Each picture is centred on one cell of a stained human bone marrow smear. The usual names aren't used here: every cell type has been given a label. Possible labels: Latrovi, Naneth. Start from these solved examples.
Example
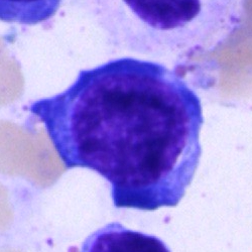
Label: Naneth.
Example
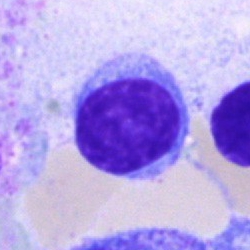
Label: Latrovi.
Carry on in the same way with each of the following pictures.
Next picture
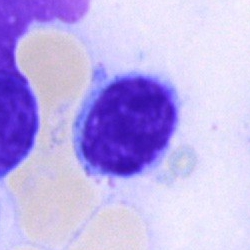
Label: Latrovi.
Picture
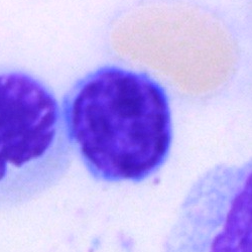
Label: Latrovi.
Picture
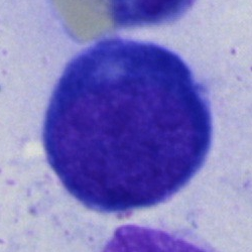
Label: Naneth.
